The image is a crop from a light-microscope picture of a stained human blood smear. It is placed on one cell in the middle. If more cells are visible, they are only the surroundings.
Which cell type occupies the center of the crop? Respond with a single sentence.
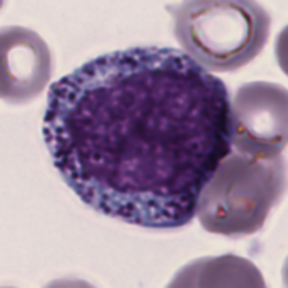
This crop has a promyelocyte at its centre.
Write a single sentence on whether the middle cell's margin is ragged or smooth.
If you check the edge, you will find it smooth without projections.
